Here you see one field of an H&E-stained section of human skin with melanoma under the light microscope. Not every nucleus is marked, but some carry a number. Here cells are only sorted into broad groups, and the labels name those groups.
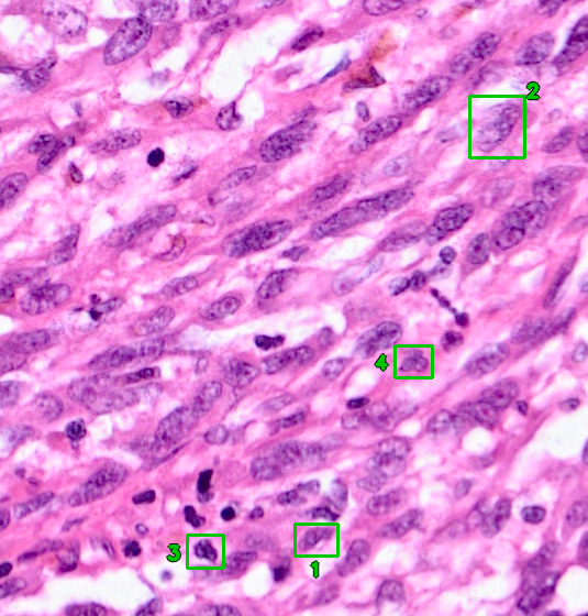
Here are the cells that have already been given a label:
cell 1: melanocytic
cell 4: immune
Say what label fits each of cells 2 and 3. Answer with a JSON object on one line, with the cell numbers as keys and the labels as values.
{"2": "melanocytic", "3": "immune"}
